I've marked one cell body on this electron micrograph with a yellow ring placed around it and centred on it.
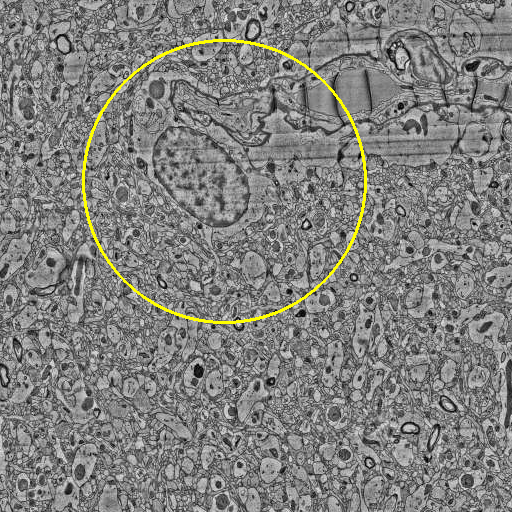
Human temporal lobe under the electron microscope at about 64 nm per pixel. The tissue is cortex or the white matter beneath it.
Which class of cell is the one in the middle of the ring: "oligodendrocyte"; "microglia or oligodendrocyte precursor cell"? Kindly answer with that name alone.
microglia or oligodendrocyte precursor cell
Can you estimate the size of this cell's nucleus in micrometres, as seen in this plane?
In this plane the nucleus measures about 7 by 5 micrometres and is clearly longer than it is wide.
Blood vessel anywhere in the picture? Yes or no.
Yes.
